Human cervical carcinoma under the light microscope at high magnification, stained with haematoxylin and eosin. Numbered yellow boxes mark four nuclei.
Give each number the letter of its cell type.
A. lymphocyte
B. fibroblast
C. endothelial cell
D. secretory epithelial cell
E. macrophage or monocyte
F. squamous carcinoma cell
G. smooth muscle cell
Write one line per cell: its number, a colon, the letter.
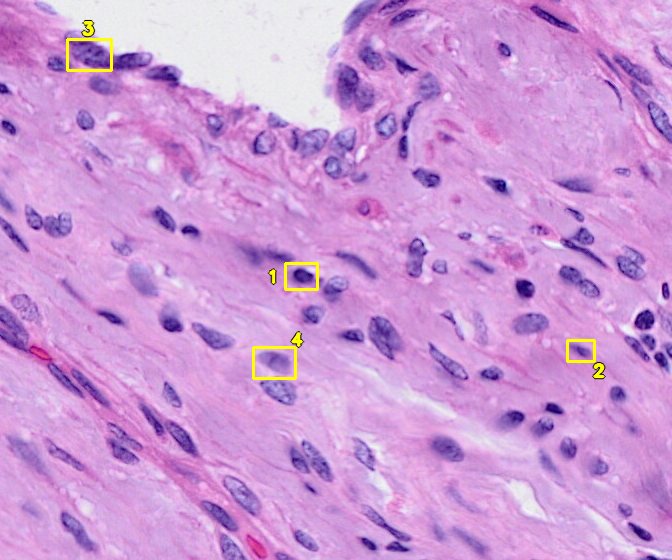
1: A
2: B
3: C
4: B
